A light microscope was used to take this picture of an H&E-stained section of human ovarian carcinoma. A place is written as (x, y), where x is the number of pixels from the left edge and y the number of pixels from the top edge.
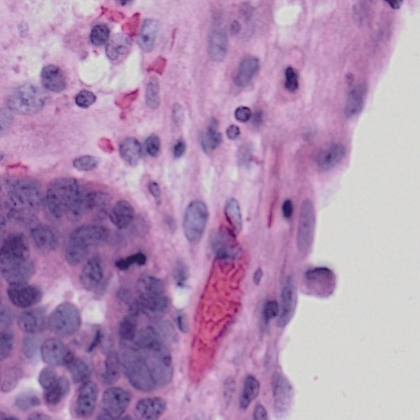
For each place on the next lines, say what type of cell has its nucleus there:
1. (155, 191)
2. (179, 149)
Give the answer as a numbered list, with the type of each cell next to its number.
1. macrophage or monocyte
2. lymphocyte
